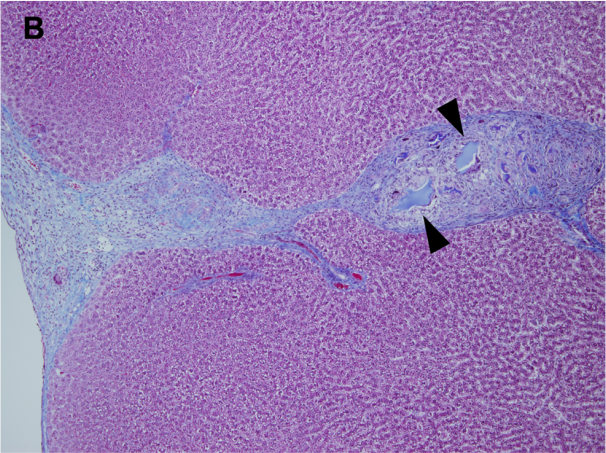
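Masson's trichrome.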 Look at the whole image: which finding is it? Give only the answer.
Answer: scar tissue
